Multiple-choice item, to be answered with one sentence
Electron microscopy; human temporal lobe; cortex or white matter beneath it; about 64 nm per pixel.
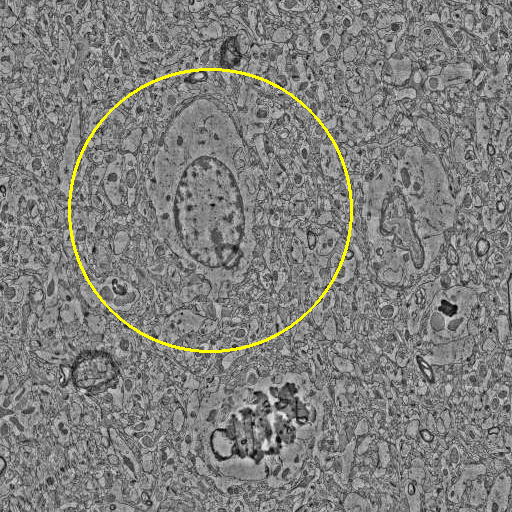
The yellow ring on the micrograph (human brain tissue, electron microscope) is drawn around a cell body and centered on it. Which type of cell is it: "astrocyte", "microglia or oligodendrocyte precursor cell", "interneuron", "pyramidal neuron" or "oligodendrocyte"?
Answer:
The ring is centered on an astrocyte.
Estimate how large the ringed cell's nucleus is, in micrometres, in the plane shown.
The ringed cell's nucleus is roughly 7 by 4 micrometres and clearly longer than it is wide in this plane.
